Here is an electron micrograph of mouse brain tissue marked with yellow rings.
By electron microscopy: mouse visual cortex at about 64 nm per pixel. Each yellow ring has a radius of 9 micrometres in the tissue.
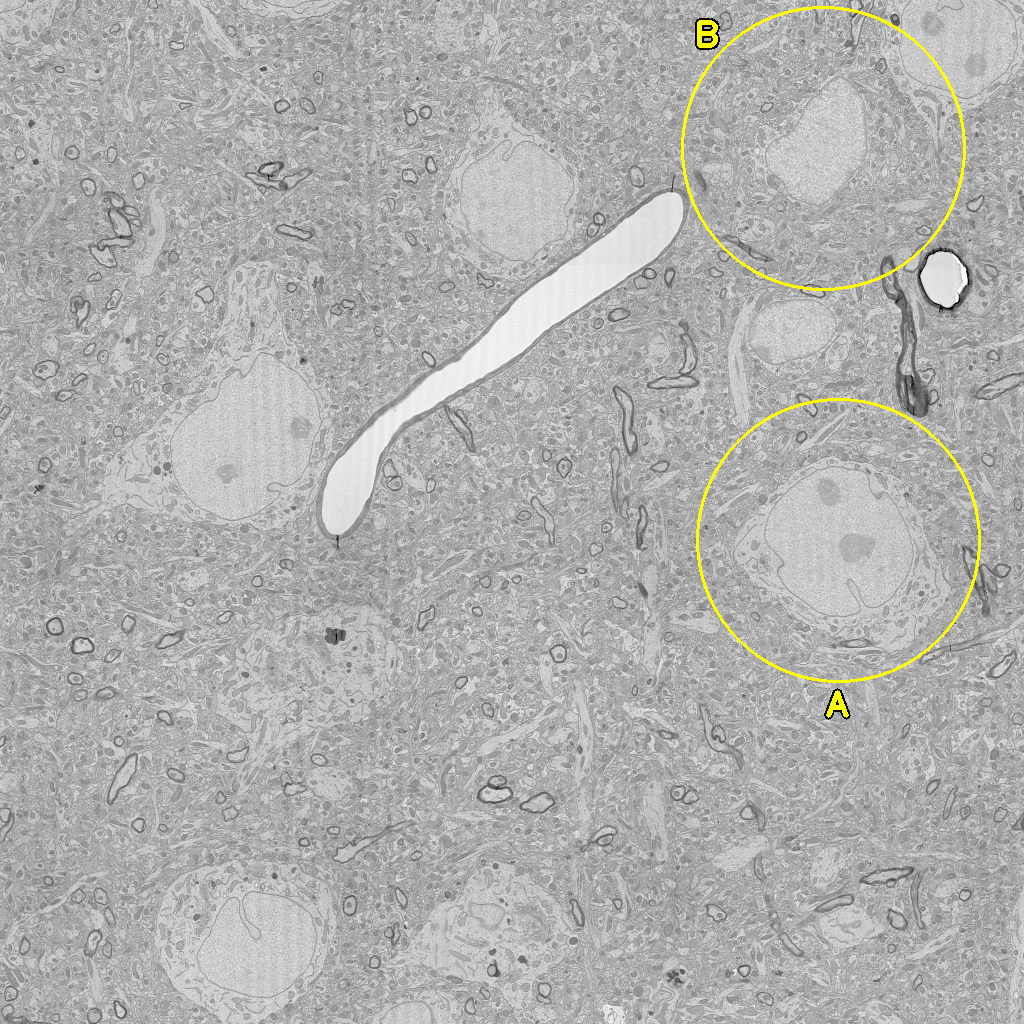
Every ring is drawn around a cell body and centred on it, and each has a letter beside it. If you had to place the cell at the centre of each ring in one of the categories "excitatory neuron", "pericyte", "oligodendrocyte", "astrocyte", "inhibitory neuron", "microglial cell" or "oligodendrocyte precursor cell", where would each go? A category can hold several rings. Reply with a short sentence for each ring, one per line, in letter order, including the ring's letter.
The centre of ring A holds an excitatory neuron.
The centre of ring B holds an astrocyte.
